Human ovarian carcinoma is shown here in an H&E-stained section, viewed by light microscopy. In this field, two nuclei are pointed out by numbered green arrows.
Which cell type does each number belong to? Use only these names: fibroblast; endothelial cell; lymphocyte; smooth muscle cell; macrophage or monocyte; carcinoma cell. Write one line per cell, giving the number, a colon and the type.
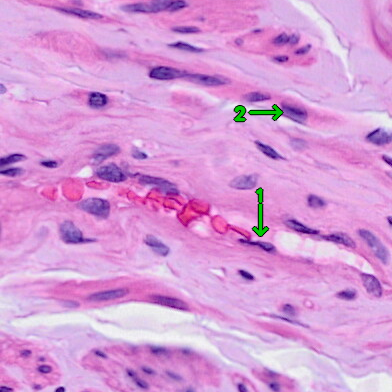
1: endothelial cell
2: smooth muscle cell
